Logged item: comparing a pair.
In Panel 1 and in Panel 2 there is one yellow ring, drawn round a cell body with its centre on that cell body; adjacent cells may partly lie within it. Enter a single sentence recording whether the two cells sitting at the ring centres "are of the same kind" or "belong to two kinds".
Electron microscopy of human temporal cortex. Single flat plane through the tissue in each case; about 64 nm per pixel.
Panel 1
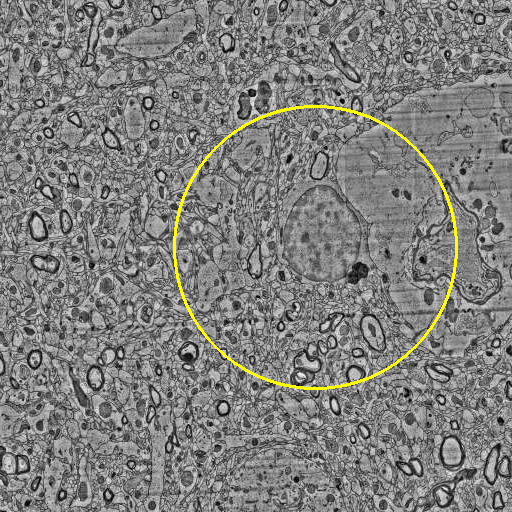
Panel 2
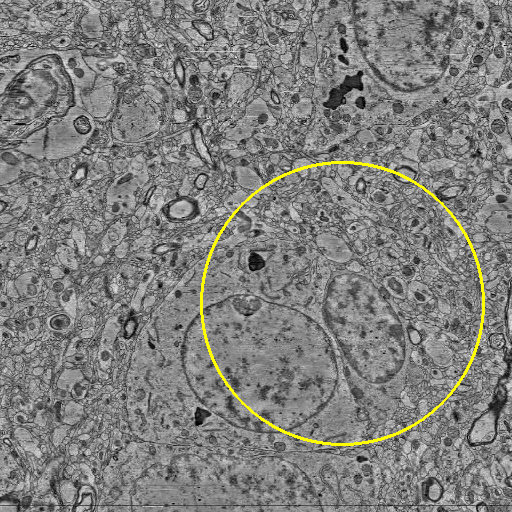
Logged: the cells centred in the rings of Panel 1 and Panel 2 are of the same kind.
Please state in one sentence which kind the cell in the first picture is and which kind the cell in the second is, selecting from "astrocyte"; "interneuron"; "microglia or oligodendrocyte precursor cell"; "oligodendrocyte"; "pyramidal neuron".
Each of the two rings is centred on an oligodendrocyte.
